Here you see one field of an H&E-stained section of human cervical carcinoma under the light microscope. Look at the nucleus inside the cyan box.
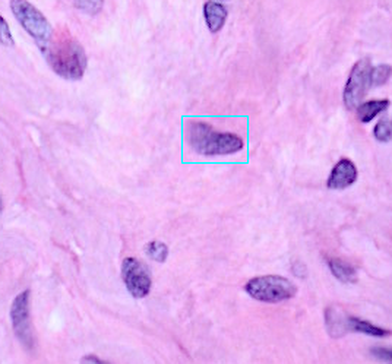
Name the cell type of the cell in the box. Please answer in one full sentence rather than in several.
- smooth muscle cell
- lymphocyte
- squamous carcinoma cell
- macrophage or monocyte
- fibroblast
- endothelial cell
For cell typing purposes, the cell in the box is a fibroblast.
